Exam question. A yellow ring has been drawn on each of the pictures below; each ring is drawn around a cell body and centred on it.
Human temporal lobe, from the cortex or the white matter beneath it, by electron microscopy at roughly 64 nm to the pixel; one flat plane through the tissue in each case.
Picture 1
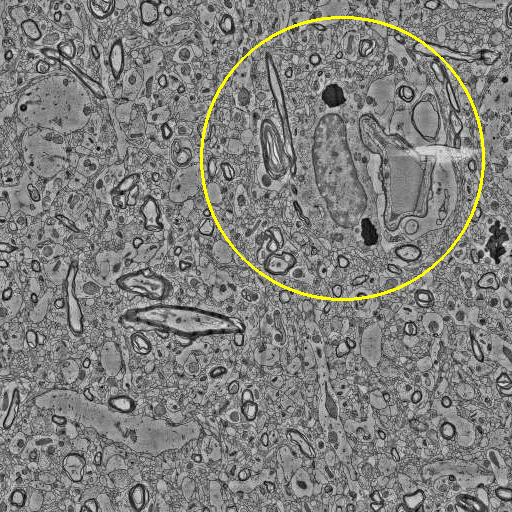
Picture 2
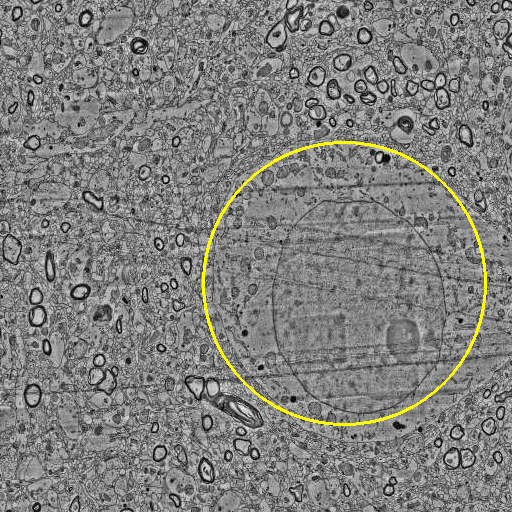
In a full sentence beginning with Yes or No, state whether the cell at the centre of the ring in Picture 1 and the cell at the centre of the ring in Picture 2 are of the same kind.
No, the cells are of two kinds.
